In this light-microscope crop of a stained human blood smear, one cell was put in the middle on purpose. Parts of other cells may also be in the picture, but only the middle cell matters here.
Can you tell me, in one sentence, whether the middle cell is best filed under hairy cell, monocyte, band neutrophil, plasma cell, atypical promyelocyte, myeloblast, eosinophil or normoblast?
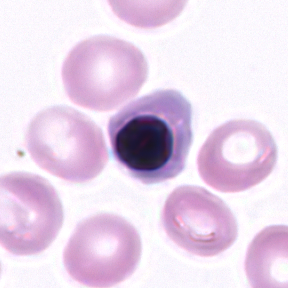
The crop's centre is taken up by a normoblast.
